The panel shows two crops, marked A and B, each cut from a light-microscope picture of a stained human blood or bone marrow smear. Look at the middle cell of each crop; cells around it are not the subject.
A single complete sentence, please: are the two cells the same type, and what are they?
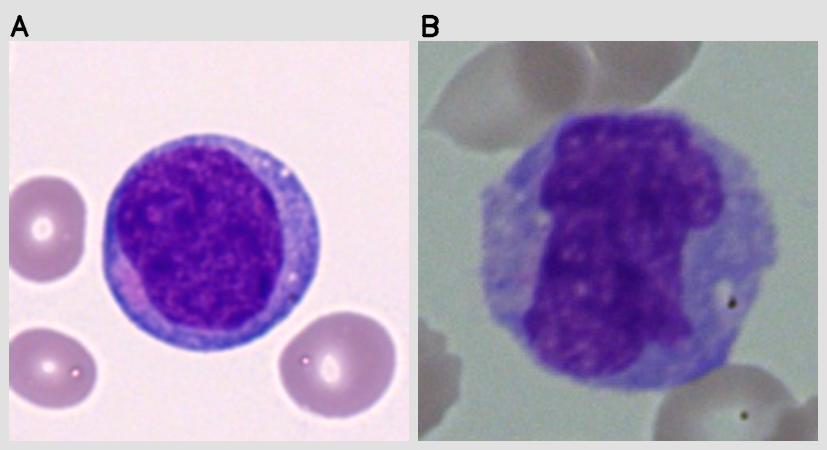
No, crop A has a blast at its center, and crop B has a monocyte.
